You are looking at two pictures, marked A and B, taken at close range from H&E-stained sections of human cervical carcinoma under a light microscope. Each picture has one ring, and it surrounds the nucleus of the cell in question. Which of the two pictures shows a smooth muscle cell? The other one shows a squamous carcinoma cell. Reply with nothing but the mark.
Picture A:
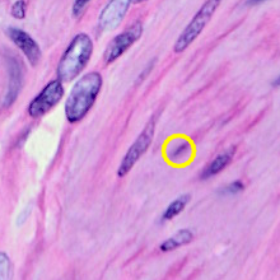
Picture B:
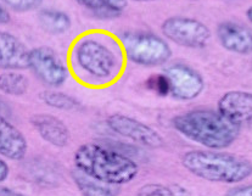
A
